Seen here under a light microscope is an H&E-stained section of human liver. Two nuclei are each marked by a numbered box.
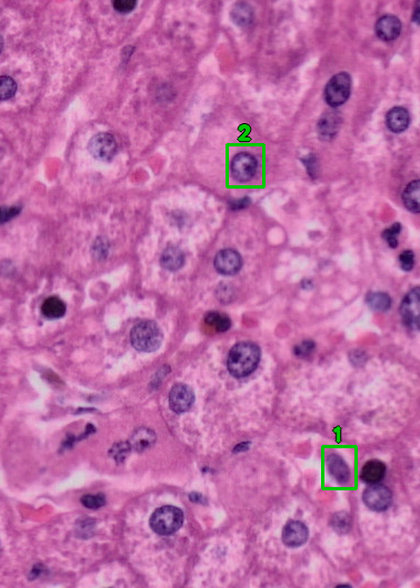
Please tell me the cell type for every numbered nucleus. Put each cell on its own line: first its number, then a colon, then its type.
1: Kupffer cell
2: hepatocyte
